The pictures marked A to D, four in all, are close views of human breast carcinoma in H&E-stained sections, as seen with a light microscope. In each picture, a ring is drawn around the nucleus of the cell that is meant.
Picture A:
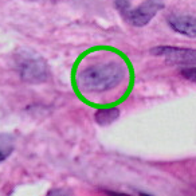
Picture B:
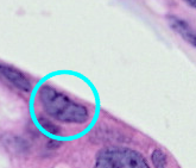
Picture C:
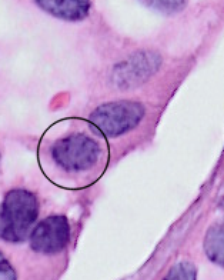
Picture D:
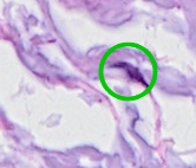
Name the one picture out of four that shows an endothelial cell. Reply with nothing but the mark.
A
